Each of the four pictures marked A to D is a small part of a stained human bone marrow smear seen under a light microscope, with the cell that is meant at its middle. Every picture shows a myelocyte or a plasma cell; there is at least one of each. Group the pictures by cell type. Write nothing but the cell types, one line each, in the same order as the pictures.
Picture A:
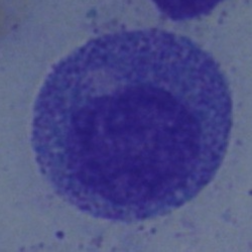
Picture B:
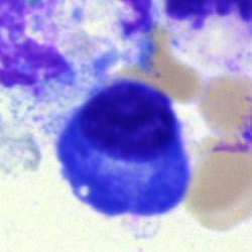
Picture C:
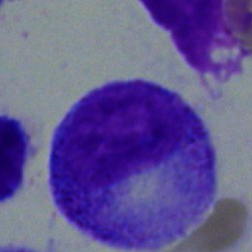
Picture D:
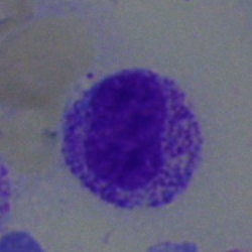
myelocyte
plasma cell
myelocyte
myelocyte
